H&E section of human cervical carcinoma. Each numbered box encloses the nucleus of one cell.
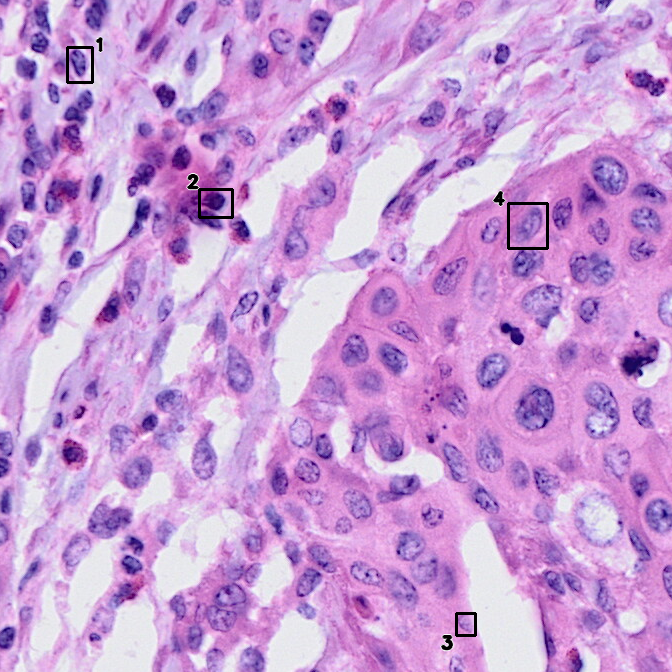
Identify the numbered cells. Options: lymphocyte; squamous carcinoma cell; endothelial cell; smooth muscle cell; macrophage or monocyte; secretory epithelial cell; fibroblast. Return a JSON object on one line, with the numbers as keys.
{"1": "lymphocyte", "2": "lymphocyte", "3": "squamous carcinoma cell", "4": "squamous carcinoma cell"}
